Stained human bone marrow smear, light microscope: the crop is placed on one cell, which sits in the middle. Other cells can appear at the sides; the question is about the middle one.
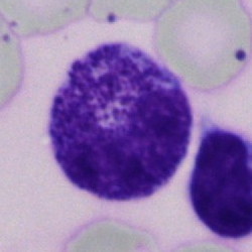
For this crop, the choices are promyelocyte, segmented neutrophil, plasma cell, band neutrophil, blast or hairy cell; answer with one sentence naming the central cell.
Within this crop, a promyelocyte occupies the central position.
